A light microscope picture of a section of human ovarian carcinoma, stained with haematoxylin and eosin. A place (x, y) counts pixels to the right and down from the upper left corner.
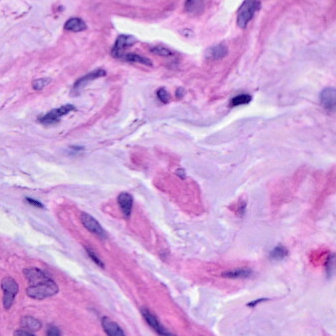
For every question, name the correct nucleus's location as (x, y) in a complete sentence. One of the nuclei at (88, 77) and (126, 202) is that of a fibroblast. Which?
The correct choice is the nucleus at (88, 77), which belongs to a fibroblast.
